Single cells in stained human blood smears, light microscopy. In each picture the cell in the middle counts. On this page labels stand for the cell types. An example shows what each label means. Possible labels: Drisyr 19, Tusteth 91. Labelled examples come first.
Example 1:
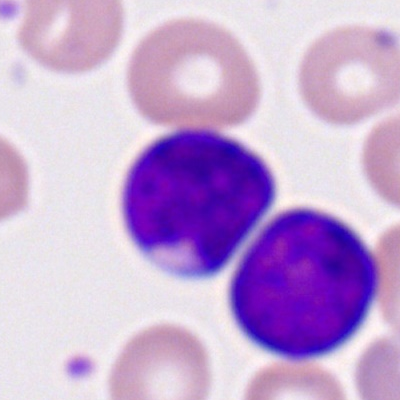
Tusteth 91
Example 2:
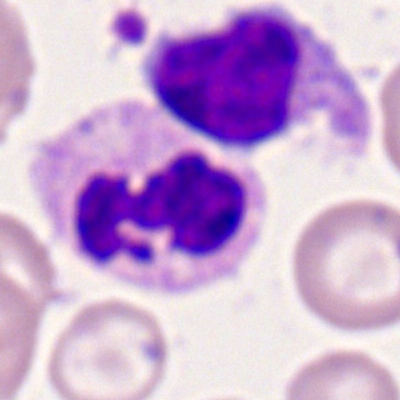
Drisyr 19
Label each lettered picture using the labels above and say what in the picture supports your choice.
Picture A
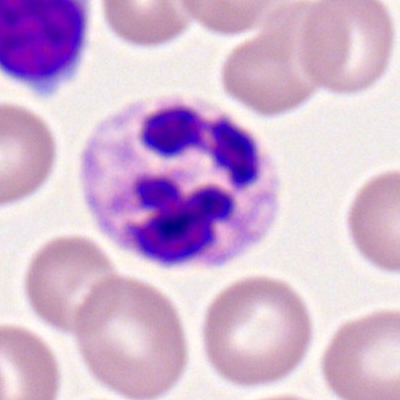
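Label: Drisyr 19. The cytoplasm is plentiful and pale pink-lilac.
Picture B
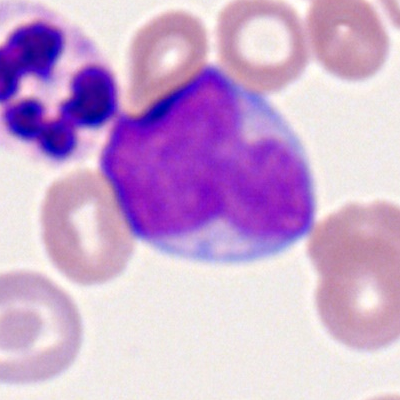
Label: Tusteth 91. The nucleus fills most of the cell.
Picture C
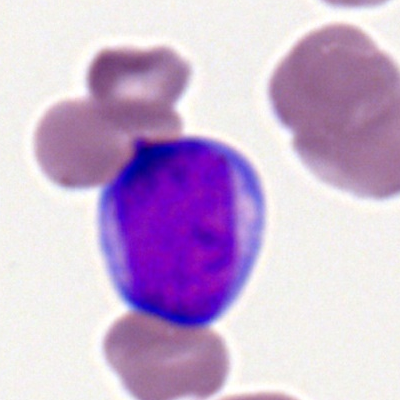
Label: Tusteth 91. The rim of cytoplasm stains deep blue.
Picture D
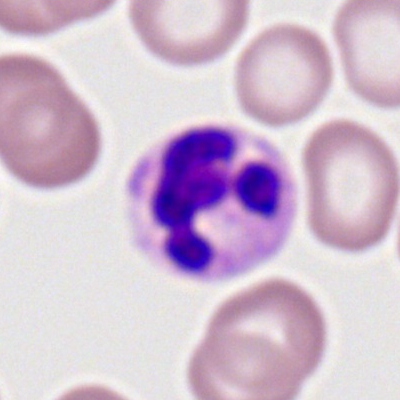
Label: Drisyr 19. The nucleus is divided into several separate lobes.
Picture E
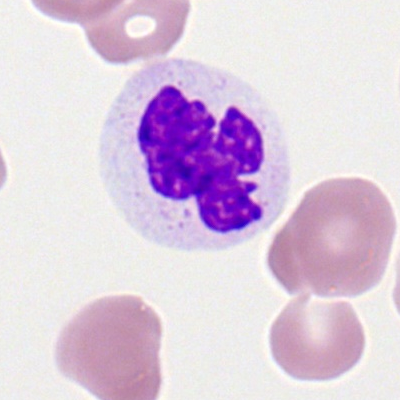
Label: Drisyr 19. The nucleus is irregular, with several lobes separated by notches.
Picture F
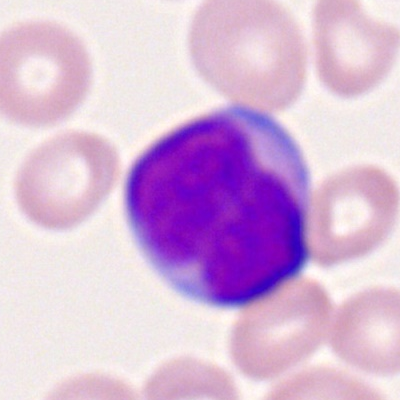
Label: Tusteth 91. The nucleus fills most of the cell.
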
